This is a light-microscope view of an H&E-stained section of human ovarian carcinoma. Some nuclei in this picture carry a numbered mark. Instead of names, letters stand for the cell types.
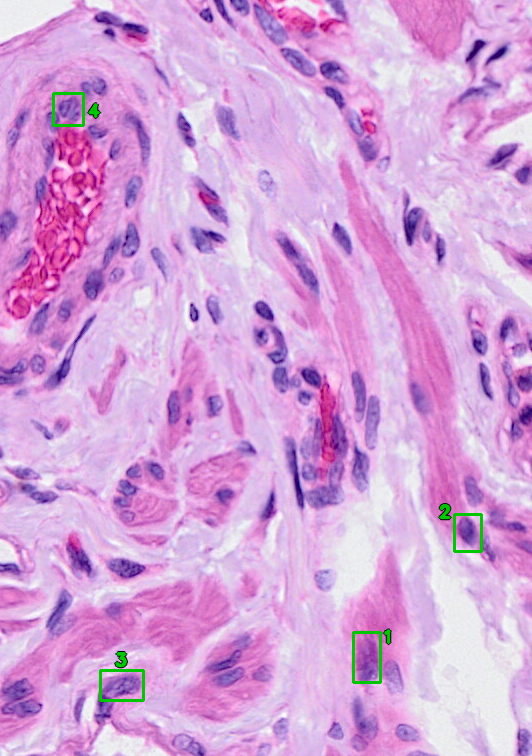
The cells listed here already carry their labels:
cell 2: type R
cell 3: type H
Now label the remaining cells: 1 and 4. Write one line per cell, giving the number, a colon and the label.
1: type R
4: type H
